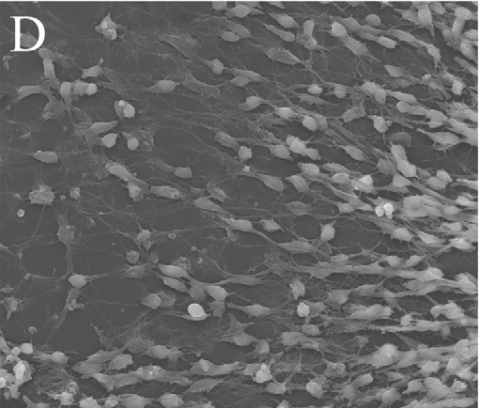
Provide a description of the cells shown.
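Scanning electron micrograph of a dense culture of cells on a flat, smooth substrate. The cells have small, bright, oval or spindle-shaped bodies, many tapering at both ends into long, thin processes. Fine fibres branch and cross between neighbouring cells, forming a net-like mesh over the dark, featureless background. A few cells are rounded and lack obvious processes.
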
